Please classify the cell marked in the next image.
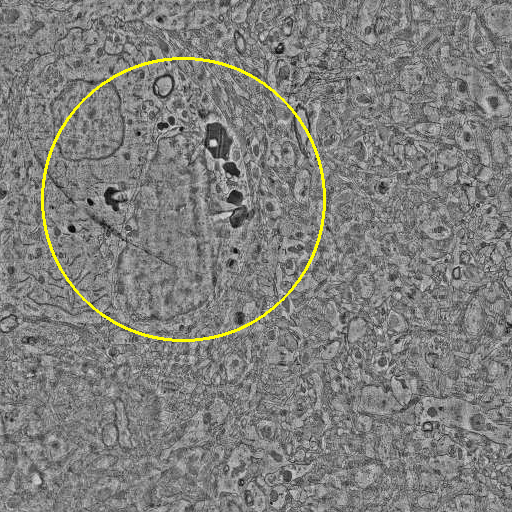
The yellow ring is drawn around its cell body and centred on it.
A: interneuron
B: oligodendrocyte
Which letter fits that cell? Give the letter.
A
